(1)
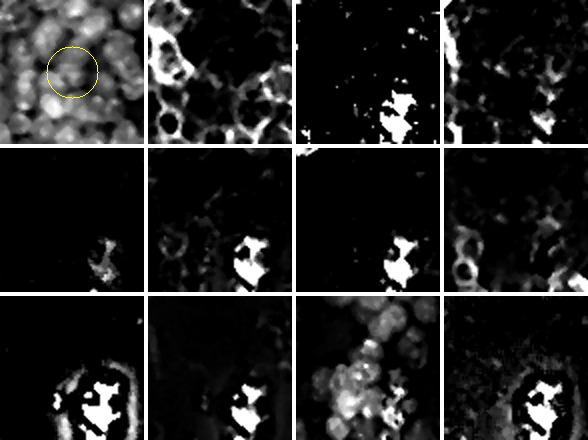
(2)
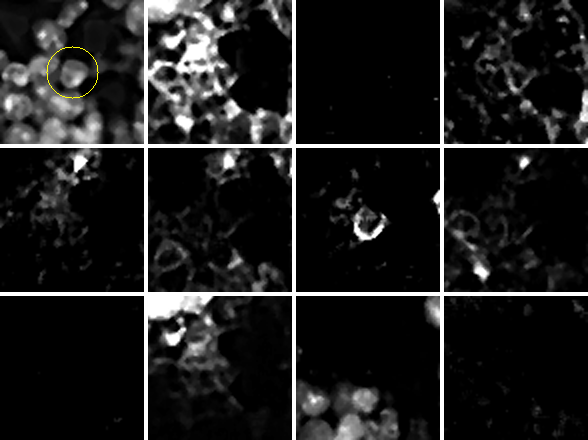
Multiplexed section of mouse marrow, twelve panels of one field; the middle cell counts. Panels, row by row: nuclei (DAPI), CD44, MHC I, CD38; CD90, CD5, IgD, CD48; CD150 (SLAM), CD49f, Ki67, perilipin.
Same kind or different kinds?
Different: the first is an erythroblast, the second a B cell.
